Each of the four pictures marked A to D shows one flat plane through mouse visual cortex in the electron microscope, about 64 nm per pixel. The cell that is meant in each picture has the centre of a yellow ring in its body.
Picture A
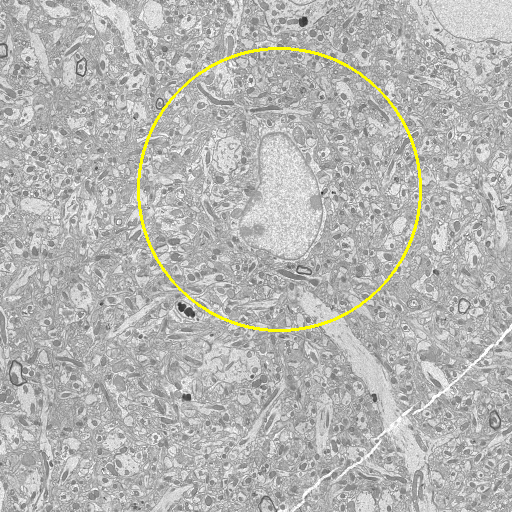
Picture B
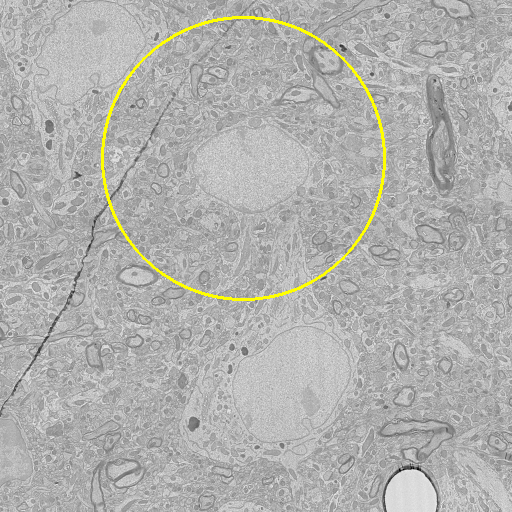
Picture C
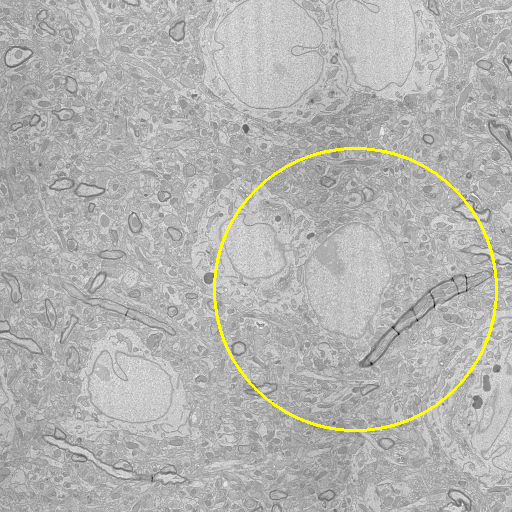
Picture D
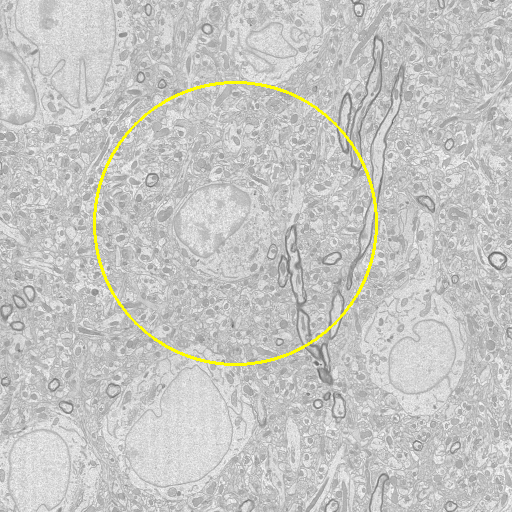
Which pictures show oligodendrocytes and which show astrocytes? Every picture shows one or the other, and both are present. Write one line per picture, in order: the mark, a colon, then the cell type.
A: astrocyte
B: astrocyte
C: astrocyte
D: oligodendrocyte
